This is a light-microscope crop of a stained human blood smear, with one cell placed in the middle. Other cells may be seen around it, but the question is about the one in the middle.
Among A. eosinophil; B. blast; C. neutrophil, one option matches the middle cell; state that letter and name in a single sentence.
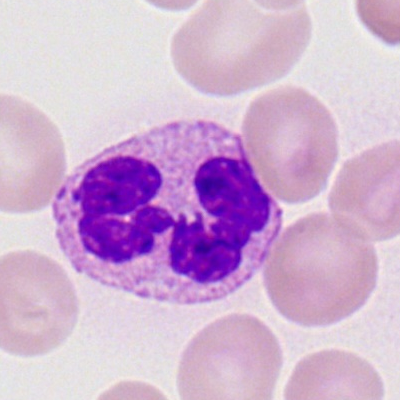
Identification: the cell in the middle is a neutrophil, matching option C.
